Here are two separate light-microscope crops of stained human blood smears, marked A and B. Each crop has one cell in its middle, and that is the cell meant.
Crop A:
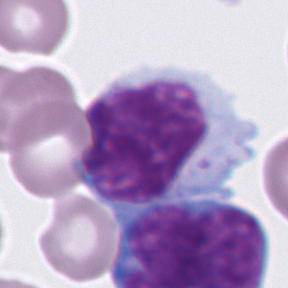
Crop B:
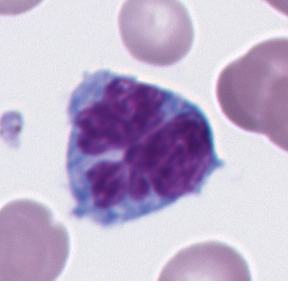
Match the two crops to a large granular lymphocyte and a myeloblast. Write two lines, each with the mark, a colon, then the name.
A: large granular lymphocyte
B: myeloblast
